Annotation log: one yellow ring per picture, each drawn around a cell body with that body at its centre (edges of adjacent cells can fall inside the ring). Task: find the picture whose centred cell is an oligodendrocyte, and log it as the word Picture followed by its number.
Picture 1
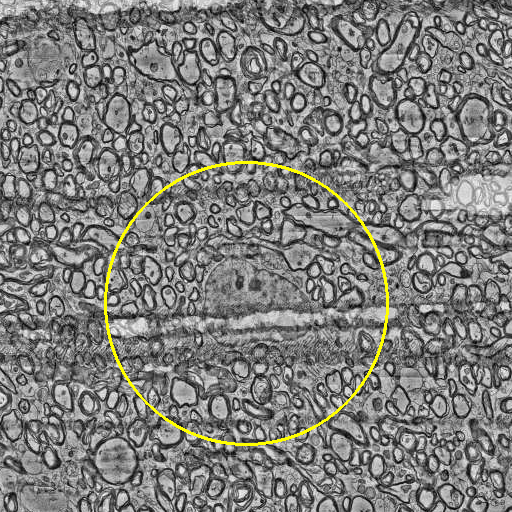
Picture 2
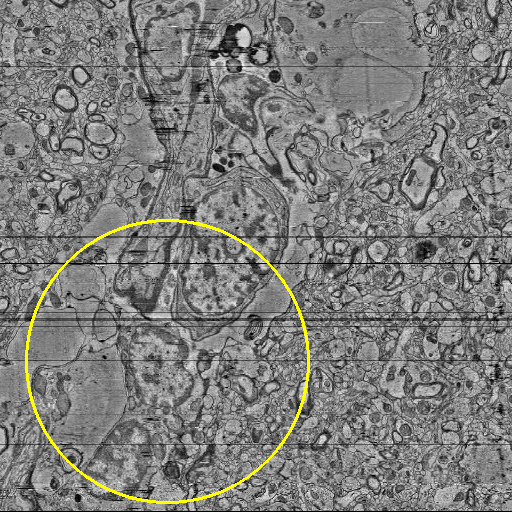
Picture 2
